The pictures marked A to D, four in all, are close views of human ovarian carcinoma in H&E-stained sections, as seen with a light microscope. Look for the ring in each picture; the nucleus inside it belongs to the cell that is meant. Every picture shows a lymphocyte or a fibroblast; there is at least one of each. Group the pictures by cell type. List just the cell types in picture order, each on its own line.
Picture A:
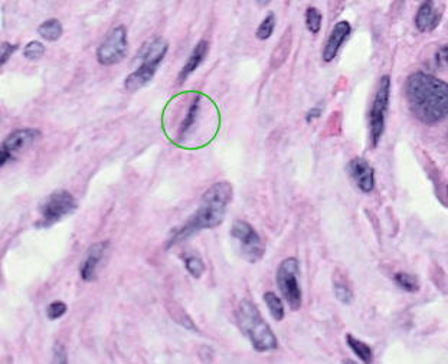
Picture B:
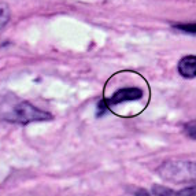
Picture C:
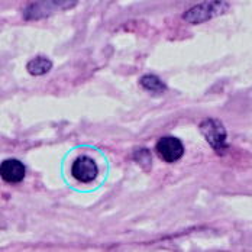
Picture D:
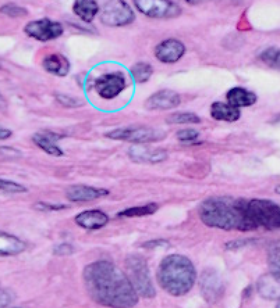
fibroblast
lymphocyte
lymphocyte
lymphocyte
